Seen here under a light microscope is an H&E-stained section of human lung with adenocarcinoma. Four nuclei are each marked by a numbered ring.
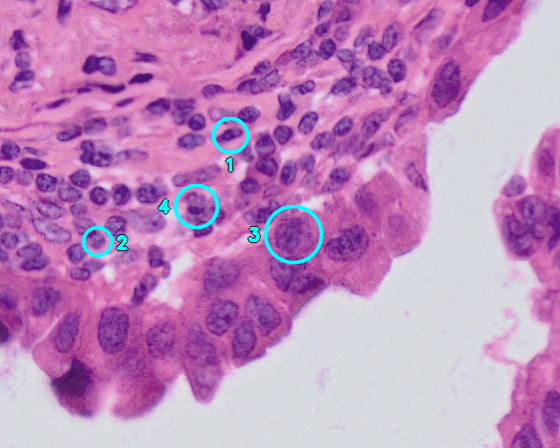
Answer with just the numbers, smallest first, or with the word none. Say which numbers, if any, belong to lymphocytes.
1, 2, 4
